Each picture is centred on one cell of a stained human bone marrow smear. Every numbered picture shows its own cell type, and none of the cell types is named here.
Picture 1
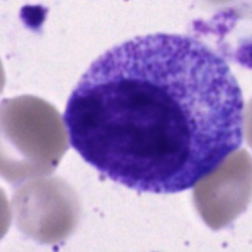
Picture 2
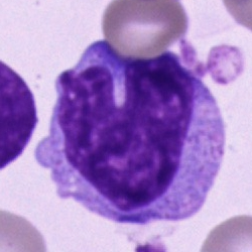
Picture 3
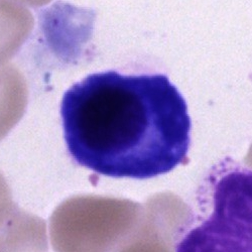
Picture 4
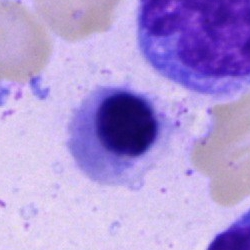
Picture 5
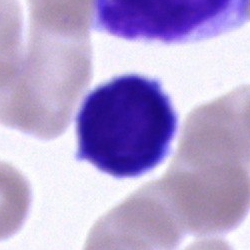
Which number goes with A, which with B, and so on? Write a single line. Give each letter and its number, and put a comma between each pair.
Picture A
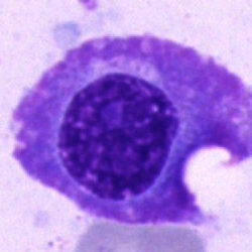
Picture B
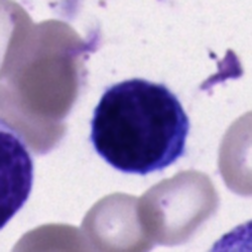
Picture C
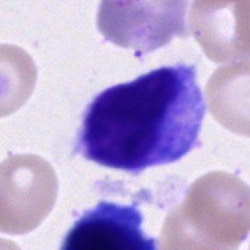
A 3, B 5, C 5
